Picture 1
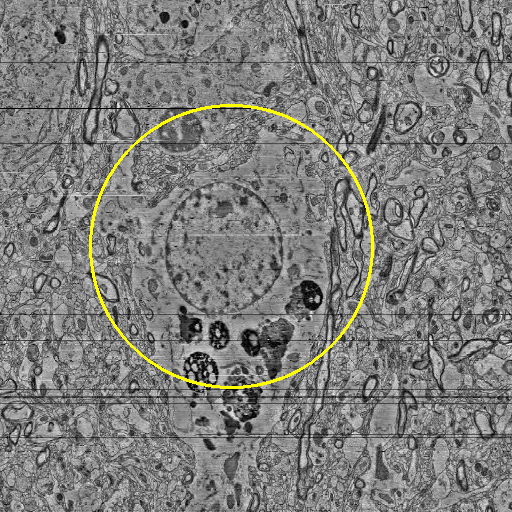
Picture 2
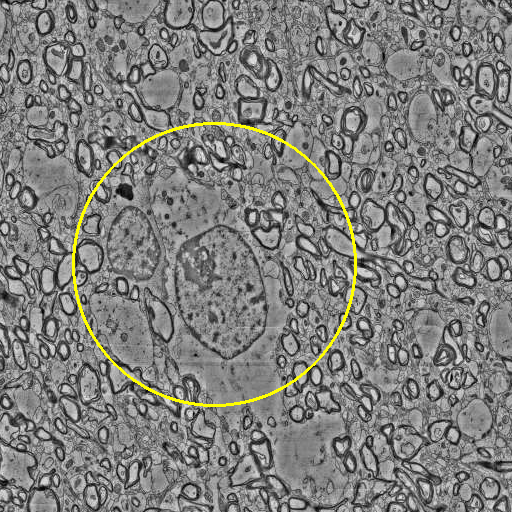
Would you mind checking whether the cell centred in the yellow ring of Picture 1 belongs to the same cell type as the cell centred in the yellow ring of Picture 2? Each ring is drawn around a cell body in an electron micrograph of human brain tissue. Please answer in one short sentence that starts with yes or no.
Yes, both cells are of the same type.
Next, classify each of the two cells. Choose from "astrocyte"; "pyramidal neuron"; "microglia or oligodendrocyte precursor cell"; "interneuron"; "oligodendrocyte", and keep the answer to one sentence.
In each of the two pictures, the ringed cell is an astrocyte.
